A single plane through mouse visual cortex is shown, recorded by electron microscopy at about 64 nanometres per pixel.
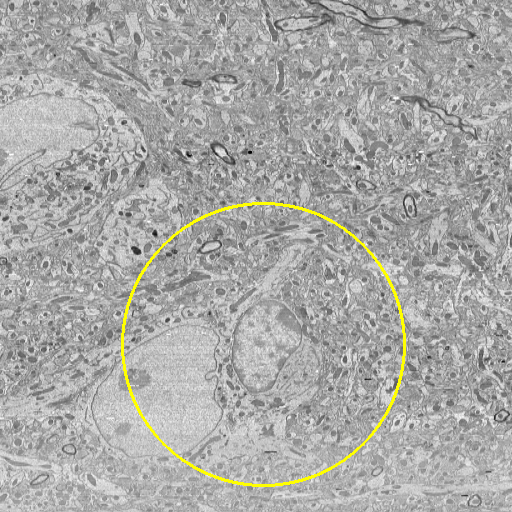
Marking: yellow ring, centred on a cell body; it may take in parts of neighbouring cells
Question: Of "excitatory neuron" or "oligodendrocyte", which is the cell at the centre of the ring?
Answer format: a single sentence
The ring surrounds the body of an oligodendrocyte.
